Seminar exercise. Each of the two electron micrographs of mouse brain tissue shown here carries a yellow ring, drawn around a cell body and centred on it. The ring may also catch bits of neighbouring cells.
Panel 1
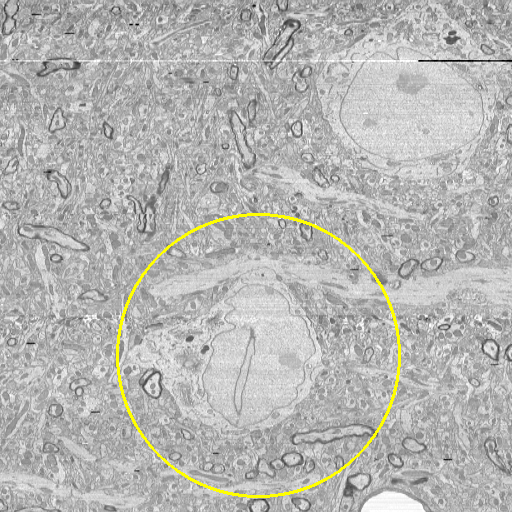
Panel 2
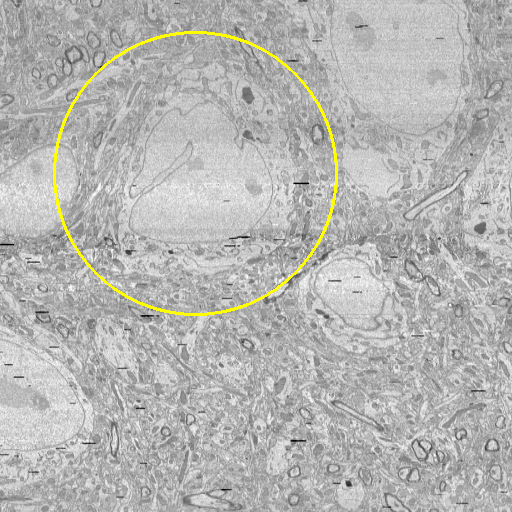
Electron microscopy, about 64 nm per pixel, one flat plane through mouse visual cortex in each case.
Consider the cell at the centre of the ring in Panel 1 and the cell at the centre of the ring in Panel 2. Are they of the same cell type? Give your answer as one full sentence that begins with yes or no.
Yes, both cells are of the same type.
